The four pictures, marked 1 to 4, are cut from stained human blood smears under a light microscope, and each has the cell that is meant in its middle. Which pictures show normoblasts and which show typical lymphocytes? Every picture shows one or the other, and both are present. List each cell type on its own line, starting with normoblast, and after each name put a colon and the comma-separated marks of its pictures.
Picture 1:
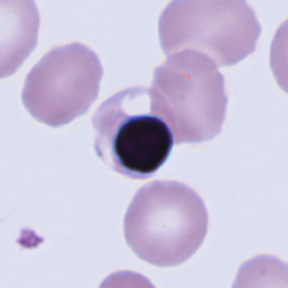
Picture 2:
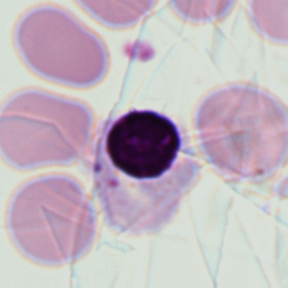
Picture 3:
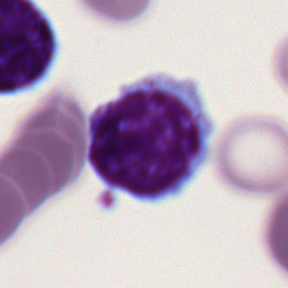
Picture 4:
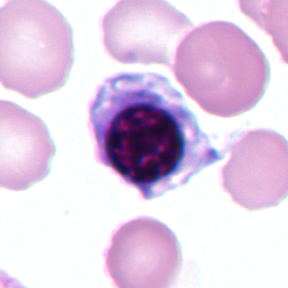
normoblast: 1, 2, 4
typical lymphocyte: 3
